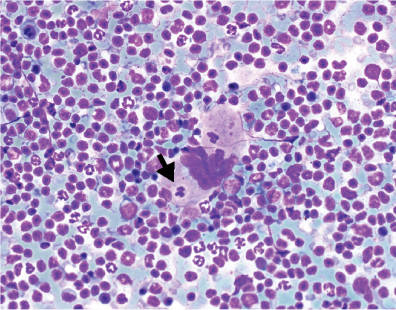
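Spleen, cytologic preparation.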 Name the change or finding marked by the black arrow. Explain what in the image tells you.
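The arrow points to a very large cell with pale cytoplasm and a dark lobed nucleus. Smaller cells with segmented nuclei sit inside the outline of the large cell.
Emperiopolesis of neutrophils.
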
